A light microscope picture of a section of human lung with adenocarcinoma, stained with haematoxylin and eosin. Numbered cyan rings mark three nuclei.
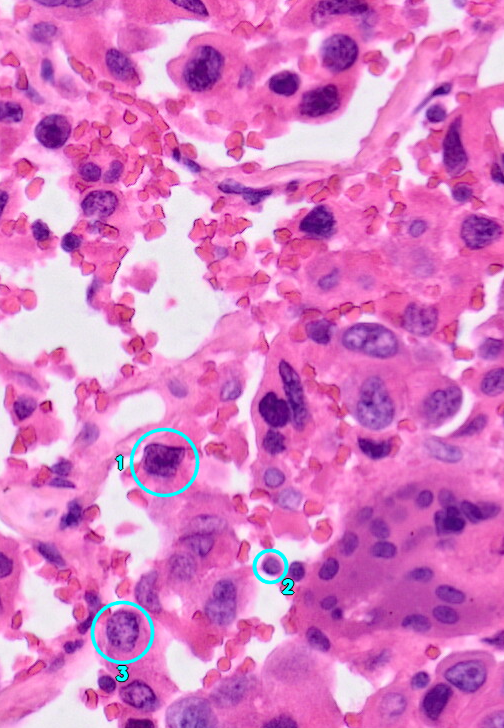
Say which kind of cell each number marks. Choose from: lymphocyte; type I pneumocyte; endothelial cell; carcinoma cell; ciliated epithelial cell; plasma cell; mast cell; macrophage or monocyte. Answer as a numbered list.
1. carcinoma cell
2. lymphocyte
3. carcinoma cell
